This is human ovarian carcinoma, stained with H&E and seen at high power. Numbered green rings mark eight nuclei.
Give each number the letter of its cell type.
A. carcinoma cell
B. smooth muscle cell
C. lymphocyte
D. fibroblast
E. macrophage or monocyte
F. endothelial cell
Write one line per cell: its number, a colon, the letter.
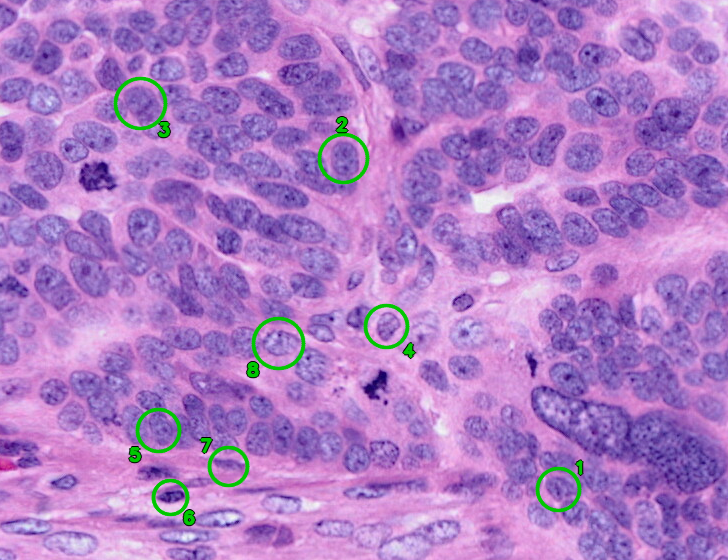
1: A
2: A
3: A
4: E
5: A
6: C
7: D
8: A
